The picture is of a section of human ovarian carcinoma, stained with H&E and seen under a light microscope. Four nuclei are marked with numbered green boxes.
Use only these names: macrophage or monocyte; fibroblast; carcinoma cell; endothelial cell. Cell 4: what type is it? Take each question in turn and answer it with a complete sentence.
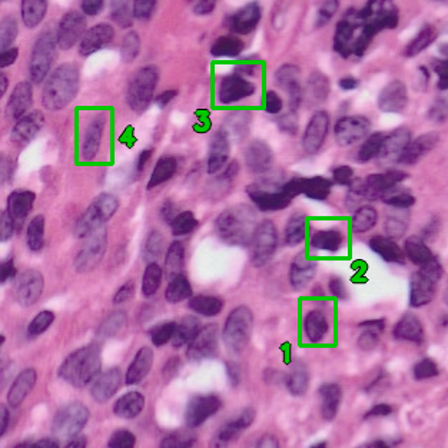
The cell pointed out as number 4 is an endothelial cell.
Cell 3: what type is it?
Cell 3 is classified as a carcinoma cell.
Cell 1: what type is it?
The cell marked with the number 1 is a macrophage or monocyte.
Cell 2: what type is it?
Among the marked cells, number 2 is a carcinoma cell.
